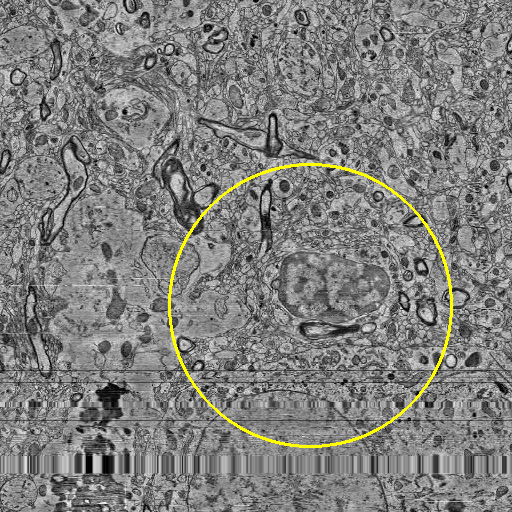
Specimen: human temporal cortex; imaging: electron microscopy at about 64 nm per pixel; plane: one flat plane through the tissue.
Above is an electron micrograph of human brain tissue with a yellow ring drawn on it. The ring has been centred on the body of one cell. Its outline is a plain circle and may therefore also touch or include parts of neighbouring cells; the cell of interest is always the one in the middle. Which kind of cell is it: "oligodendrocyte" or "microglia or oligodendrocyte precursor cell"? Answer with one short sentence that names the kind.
The ring's central cell body is that of a microglial cell or oligodendrocyte precursor cell.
